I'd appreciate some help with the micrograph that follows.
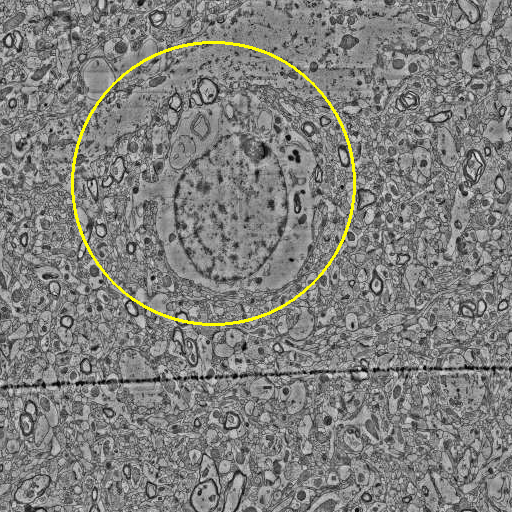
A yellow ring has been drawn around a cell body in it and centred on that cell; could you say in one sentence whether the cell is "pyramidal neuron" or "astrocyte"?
It is an astrocyte at the centre of the ring.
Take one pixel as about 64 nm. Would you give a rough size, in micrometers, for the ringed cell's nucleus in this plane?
About 8 micrometres across in this plane.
